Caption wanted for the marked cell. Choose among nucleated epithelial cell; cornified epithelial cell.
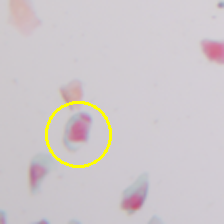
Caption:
Ringed in yellow is a nucleated epithelial cell.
